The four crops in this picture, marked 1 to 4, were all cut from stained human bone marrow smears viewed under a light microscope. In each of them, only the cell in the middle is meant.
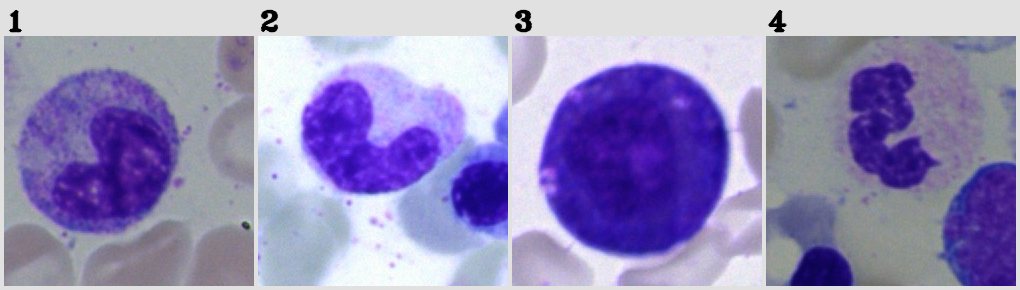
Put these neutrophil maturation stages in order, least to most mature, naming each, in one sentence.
Least to most mature, the order stands as crop 3 (a promyelocyte), crop 1 (a metamyelocyte), crop 2 (a band neutrophil) and crop 4 (a segmented neutrophil).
